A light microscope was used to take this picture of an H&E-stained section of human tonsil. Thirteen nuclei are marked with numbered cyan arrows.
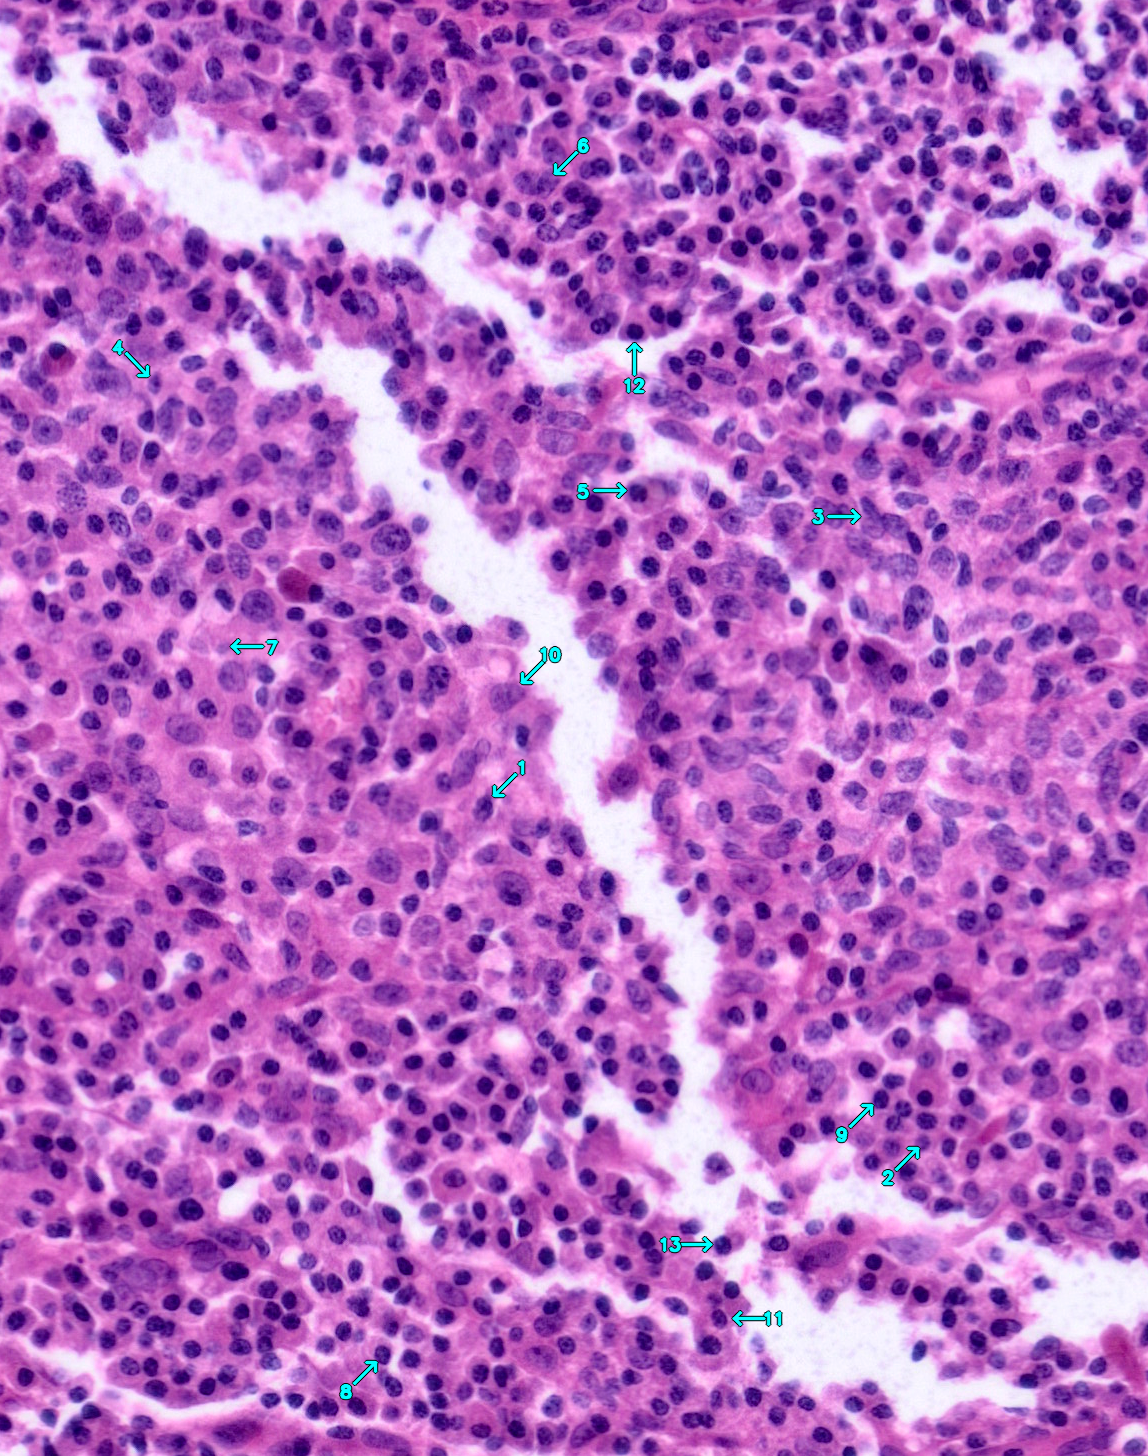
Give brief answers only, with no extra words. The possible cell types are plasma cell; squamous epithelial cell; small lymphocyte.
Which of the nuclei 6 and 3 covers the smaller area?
6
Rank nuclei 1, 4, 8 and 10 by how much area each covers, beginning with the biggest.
10, 1, 8, 4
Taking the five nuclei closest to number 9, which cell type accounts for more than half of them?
plasma cell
